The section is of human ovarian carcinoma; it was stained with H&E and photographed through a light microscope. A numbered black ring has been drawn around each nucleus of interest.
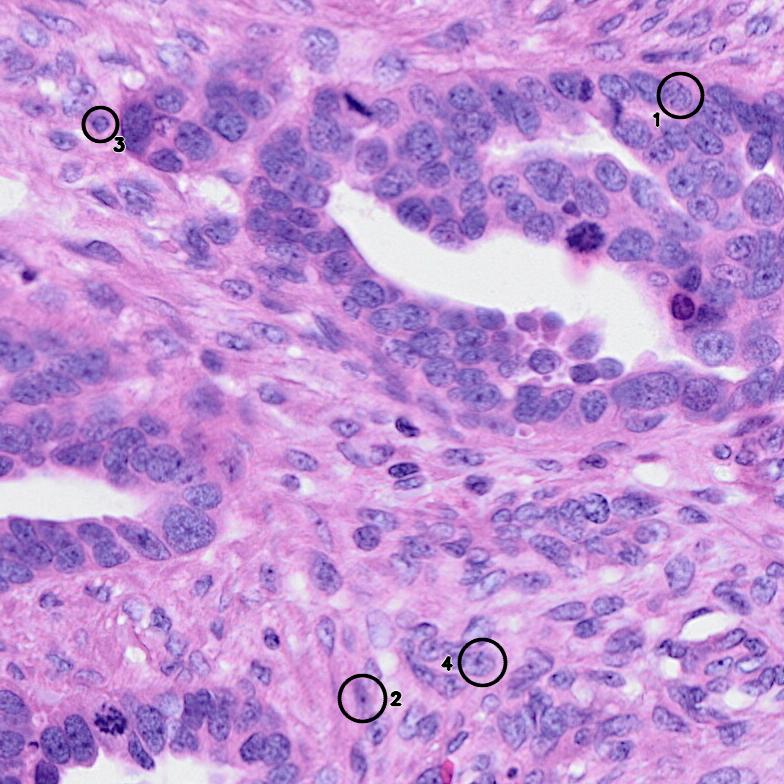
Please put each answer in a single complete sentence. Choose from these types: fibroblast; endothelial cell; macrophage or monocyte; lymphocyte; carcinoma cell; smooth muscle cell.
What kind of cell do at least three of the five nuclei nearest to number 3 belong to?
Around number 3, most of the five nearest nuclei are those of fibroblasts.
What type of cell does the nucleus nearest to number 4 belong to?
It is a fibroblast whose nucleus is nearest to number 4.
